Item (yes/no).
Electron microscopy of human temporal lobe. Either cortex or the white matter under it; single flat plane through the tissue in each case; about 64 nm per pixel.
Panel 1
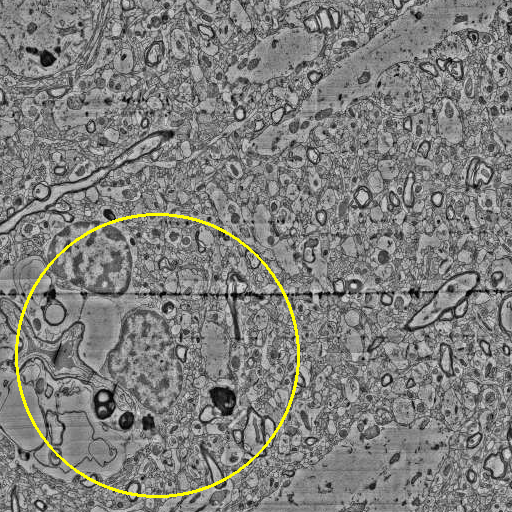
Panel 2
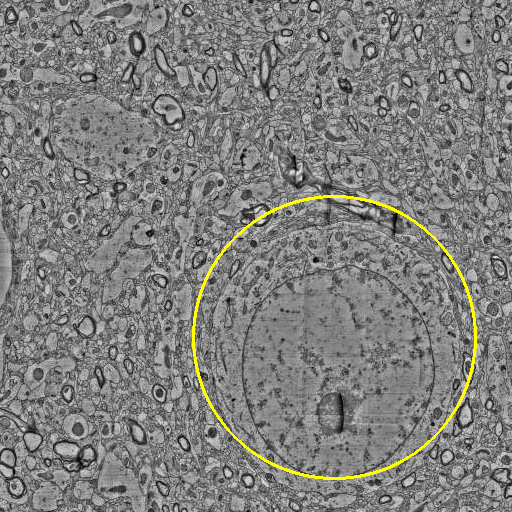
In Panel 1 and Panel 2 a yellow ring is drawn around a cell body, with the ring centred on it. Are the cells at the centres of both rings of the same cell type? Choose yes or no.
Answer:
no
